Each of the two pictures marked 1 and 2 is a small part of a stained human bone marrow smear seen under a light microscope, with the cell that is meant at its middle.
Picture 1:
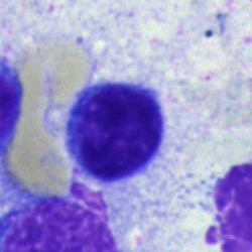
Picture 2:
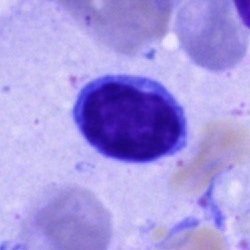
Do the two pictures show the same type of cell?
yes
